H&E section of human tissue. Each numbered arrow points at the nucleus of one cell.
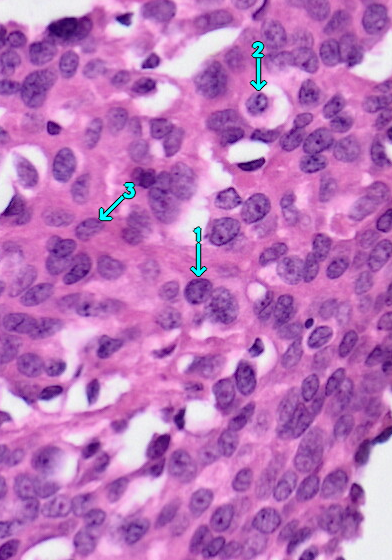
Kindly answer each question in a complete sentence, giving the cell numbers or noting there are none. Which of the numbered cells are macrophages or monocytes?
Cell 2, and no other numbered cell, is a macrophage or monocyte.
